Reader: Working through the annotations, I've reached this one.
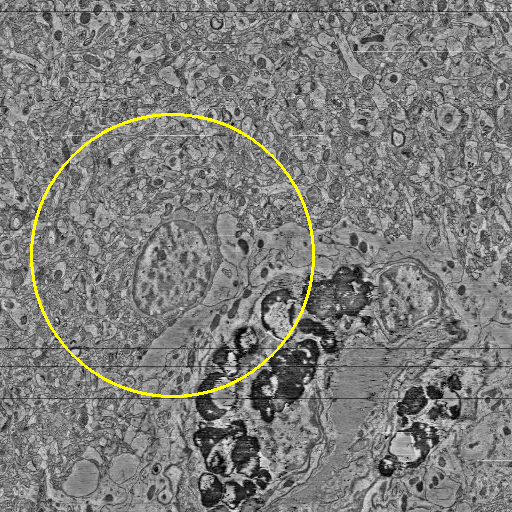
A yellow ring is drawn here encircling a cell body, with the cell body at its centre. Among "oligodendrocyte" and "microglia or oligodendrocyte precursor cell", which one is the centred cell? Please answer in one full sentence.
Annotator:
The cell body at the centre of the yellow ring in this image belongs to an oligodendrocyte.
